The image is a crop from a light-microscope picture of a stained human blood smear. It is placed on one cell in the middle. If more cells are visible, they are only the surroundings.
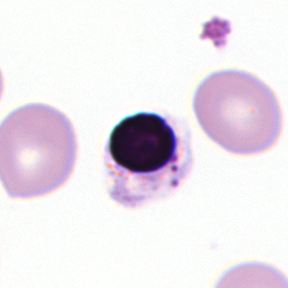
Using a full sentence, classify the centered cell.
Classification of the middle cell gives a normoblast.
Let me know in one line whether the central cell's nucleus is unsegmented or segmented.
The nucleus holds together as a single compact mass, round, oval or kidney-like.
